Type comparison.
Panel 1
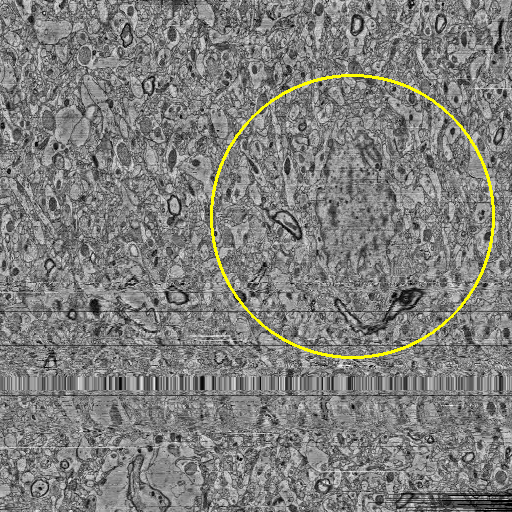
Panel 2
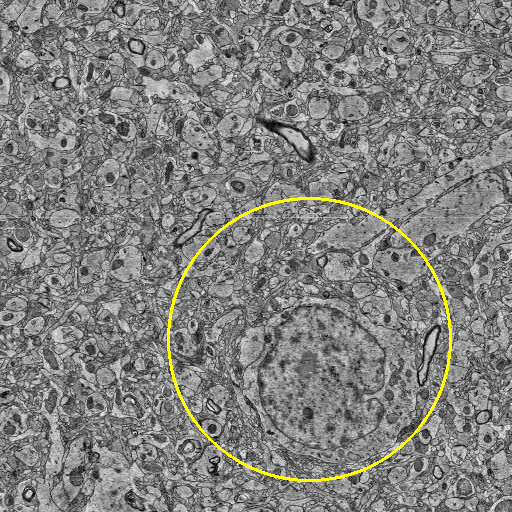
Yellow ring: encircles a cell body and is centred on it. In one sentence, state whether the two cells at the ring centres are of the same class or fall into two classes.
In these panels, the two cells at the ring centres are of the same class.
